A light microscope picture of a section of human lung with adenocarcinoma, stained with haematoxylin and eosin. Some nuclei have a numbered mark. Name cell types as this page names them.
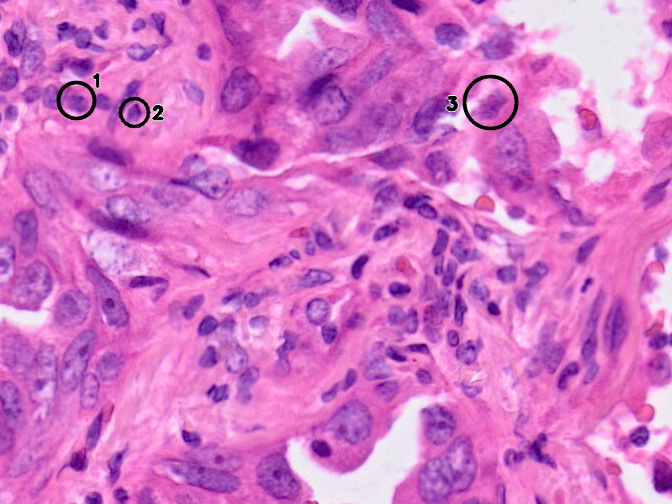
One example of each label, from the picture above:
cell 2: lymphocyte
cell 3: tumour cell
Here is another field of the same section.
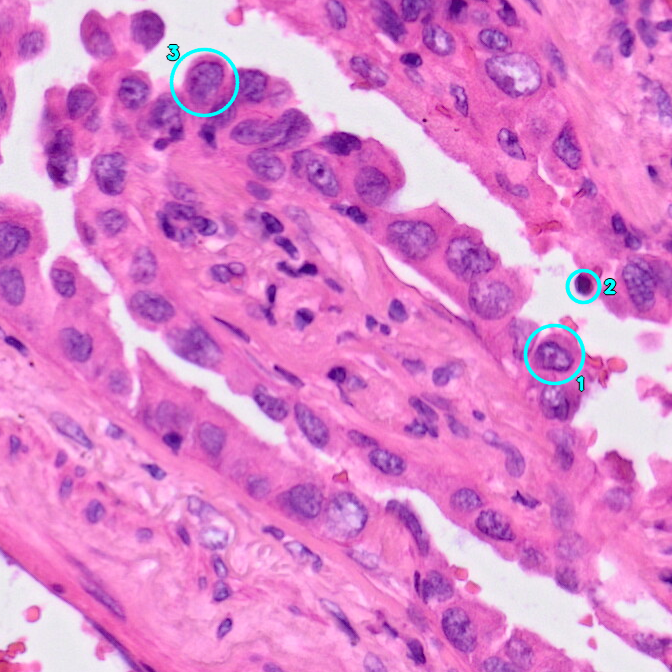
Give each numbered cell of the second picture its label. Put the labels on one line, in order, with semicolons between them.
tumour cell; lymphocyte; tumour cell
